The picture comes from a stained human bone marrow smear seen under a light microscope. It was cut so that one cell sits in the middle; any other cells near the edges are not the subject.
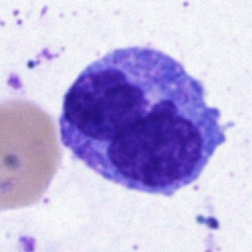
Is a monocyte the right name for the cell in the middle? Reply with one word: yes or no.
yes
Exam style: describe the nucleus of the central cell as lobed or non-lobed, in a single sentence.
Two or more lobes make up the nucleus of this cell.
